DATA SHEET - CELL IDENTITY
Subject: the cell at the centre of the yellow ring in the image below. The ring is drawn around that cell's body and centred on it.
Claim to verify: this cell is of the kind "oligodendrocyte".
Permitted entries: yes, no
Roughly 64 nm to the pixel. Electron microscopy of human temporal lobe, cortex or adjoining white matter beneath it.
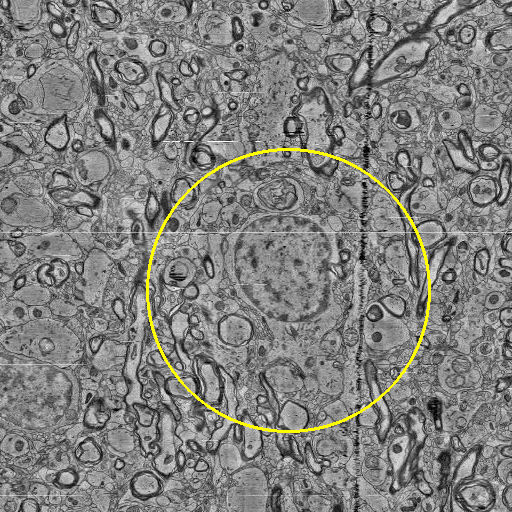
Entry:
no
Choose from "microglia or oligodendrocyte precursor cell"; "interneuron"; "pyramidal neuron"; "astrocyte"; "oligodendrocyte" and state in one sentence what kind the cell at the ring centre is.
The ringed cell in this picture is, instead, a microglial cell or oligodendrocyte precursor cell.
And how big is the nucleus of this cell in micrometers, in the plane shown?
The nucleus appears roughly 7 by 6 micrometres in this plane.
